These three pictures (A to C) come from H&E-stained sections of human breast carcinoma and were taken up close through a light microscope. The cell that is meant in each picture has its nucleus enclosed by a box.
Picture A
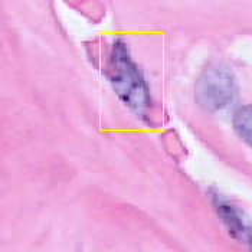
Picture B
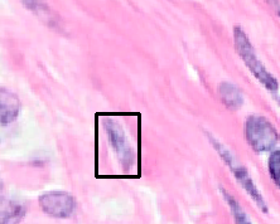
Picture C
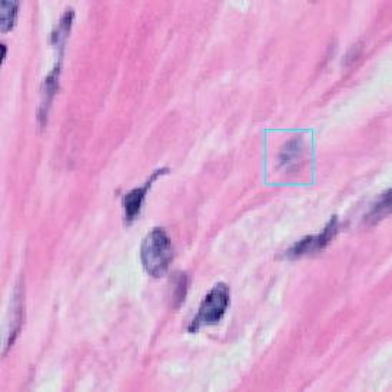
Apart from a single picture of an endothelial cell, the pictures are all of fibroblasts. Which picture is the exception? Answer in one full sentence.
Picture A shows the endothelial cell.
